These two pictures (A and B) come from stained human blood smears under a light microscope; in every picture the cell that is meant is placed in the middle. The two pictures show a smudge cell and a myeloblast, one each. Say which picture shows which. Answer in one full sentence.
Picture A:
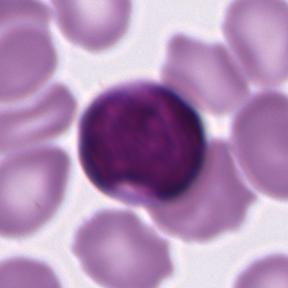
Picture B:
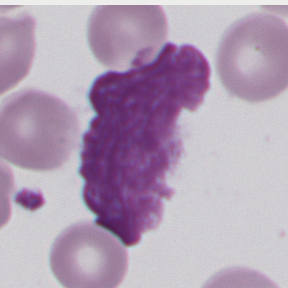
Picture A is of a myeloblast, and picture B is of a smudge cell.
